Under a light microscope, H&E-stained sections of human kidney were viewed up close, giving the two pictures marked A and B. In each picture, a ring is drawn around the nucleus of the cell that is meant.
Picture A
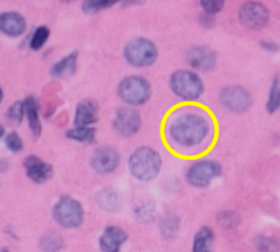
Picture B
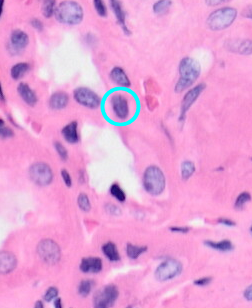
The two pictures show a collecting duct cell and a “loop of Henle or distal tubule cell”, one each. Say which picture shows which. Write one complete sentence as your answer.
Picture B shows a collecting duct cell, while picture A shows a “loop of Henle or distal tubule cell”.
